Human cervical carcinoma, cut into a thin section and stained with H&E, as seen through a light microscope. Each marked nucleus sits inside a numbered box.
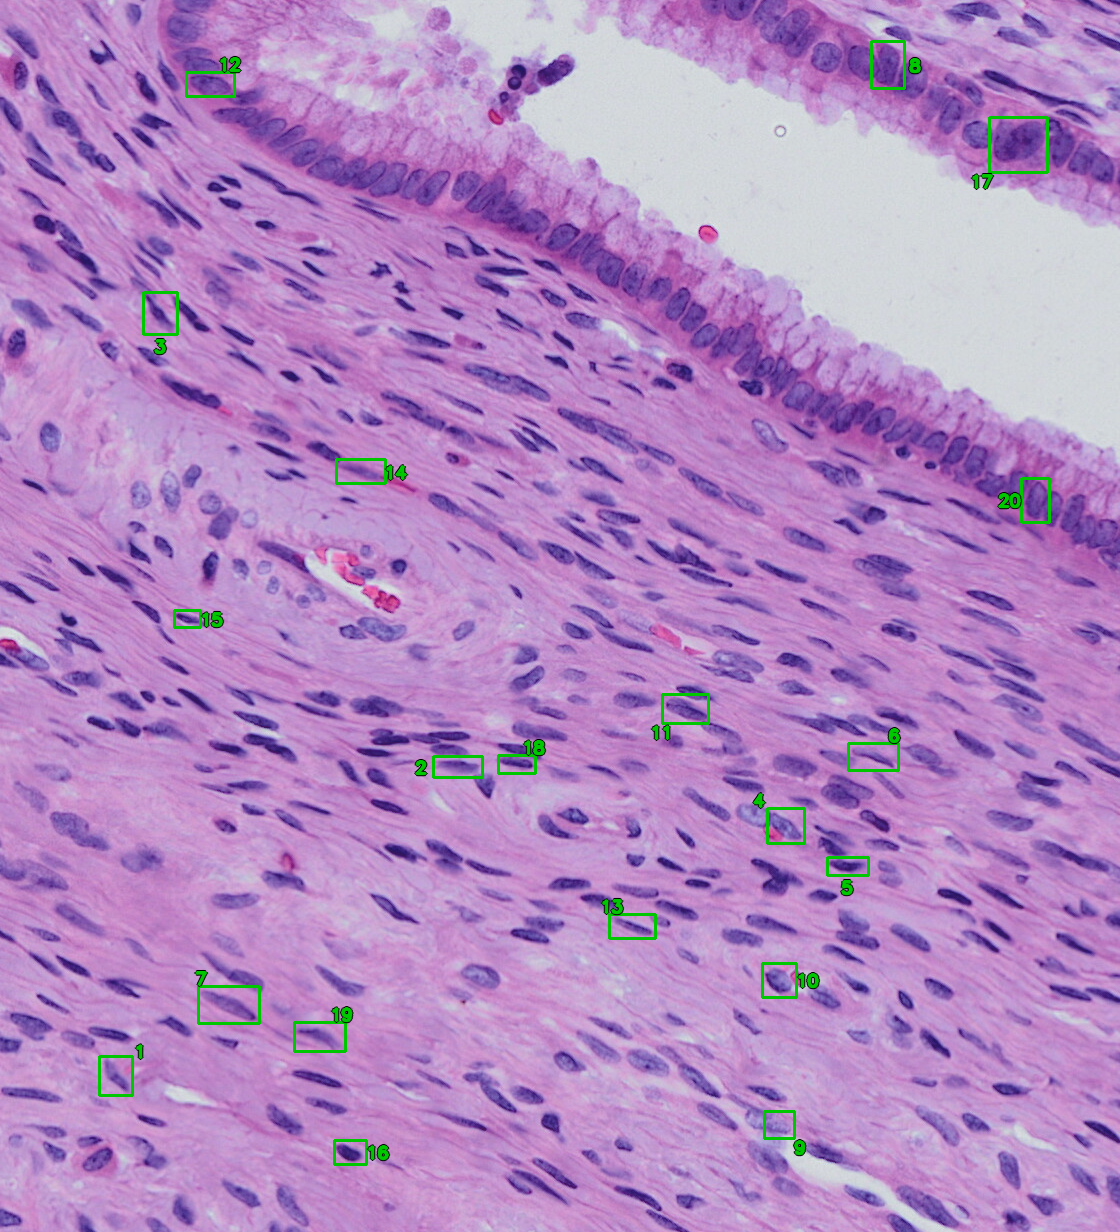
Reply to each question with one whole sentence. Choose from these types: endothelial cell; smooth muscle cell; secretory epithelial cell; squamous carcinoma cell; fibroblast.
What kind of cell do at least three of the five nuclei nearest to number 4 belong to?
Around number 4, most of the five nearest nuclei are those of fibroblasts.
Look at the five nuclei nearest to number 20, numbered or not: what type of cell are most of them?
Secretory epithelial cells account for more than half of the five nuclei nearest to number 20.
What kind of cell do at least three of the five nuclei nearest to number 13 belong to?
Fibroblasts make up most of the five nuclei closest to number 13.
